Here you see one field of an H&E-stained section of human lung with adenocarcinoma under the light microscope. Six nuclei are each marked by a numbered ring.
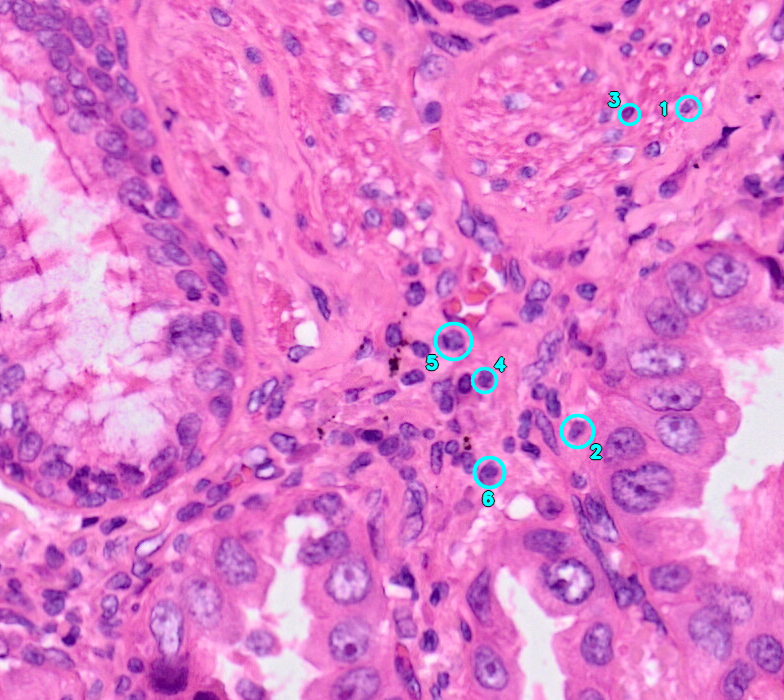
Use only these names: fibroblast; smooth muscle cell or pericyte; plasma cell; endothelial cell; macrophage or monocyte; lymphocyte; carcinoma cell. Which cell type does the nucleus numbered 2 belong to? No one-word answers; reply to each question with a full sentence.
The marked cell with the number 2 is recognised as a lymphocyte.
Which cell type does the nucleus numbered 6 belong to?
The one numbered 6 among the marked cells is a lymphocyte.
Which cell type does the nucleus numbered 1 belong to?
The cell given label 1 is a smooth muscle cell or pericyte.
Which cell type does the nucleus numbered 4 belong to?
The numeral 4 marks a lymphocyte in this section.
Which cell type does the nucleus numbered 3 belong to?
The identity of cell 3 is that of a smooth muscle cell or pericyte.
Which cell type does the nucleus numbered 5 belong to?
Belonging to a lymphocyte is the nucleus that carries the number 5.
